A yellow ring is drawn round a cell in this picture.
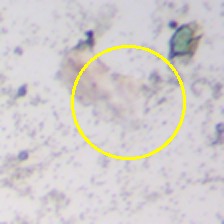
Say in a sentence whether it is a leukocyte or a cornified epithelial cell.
The cell in the ring is a cornified epithelial cell.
